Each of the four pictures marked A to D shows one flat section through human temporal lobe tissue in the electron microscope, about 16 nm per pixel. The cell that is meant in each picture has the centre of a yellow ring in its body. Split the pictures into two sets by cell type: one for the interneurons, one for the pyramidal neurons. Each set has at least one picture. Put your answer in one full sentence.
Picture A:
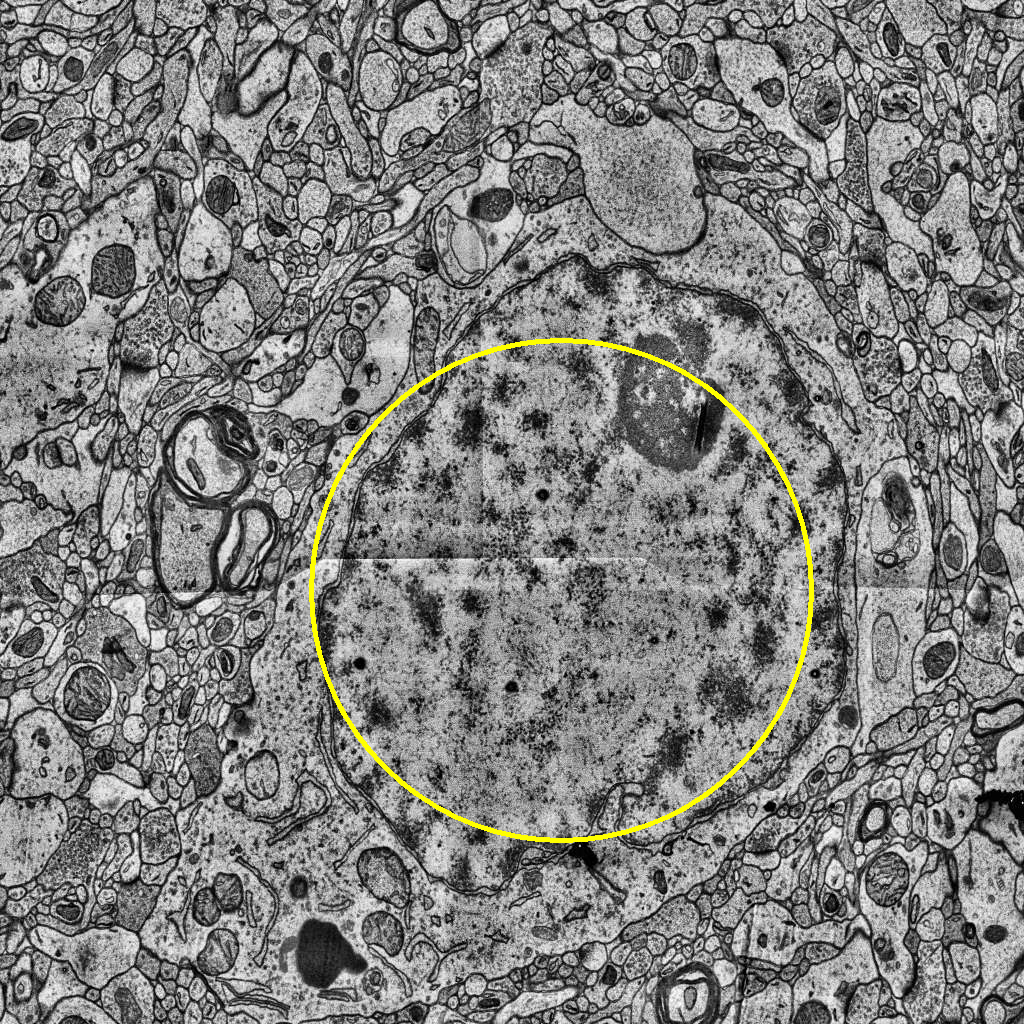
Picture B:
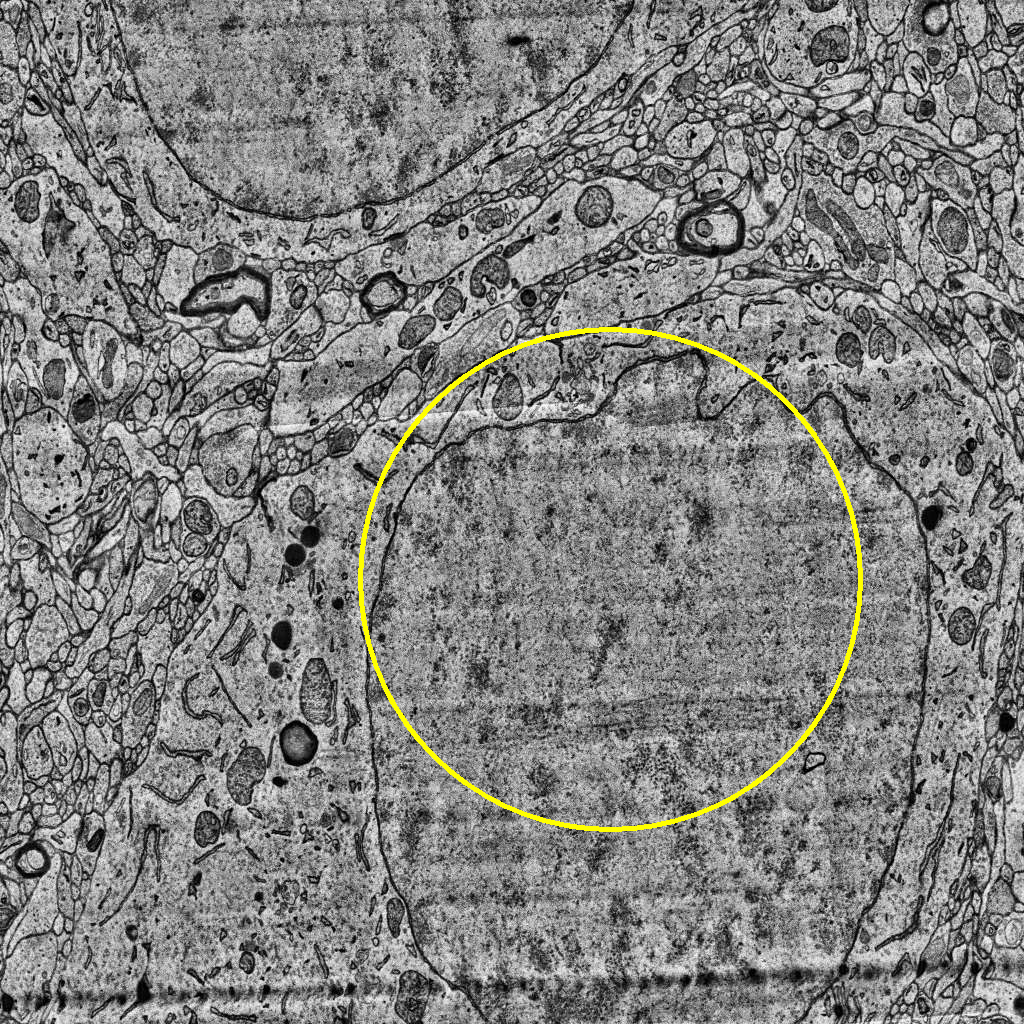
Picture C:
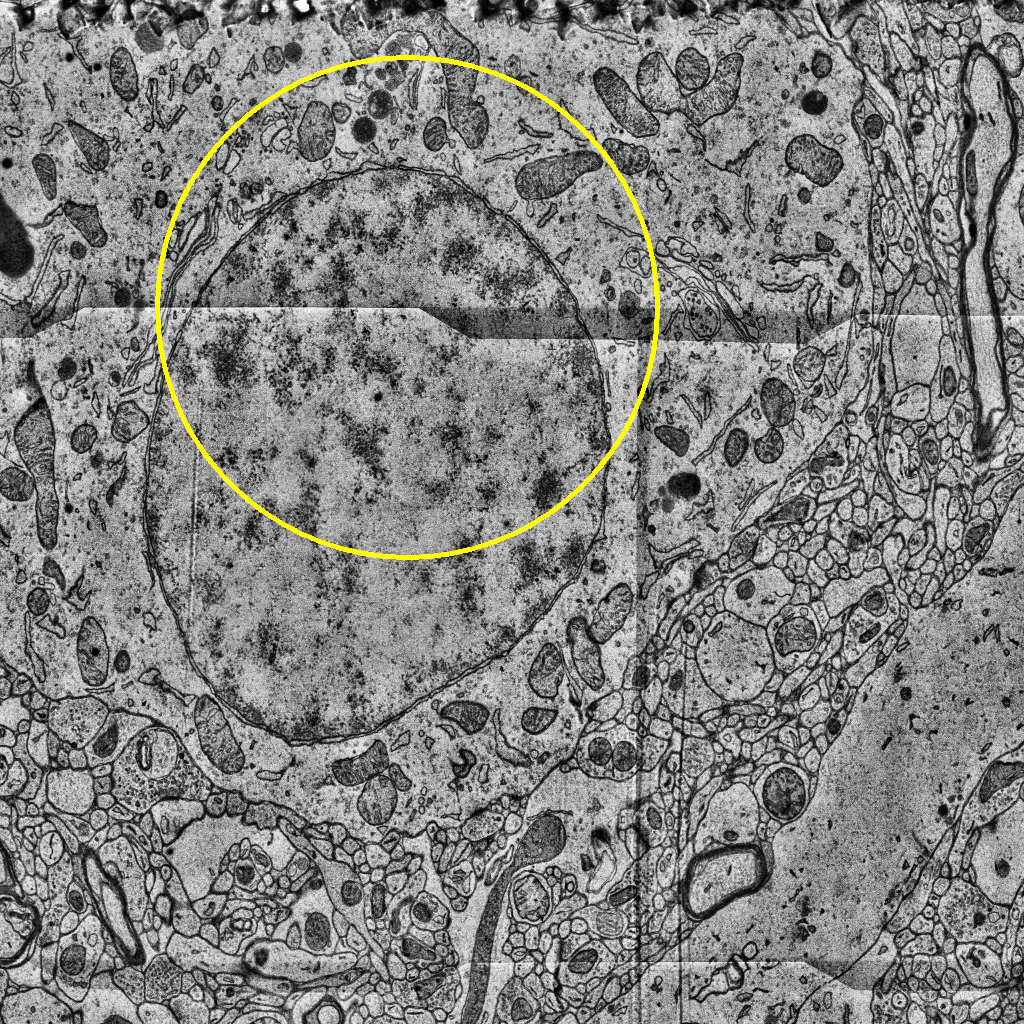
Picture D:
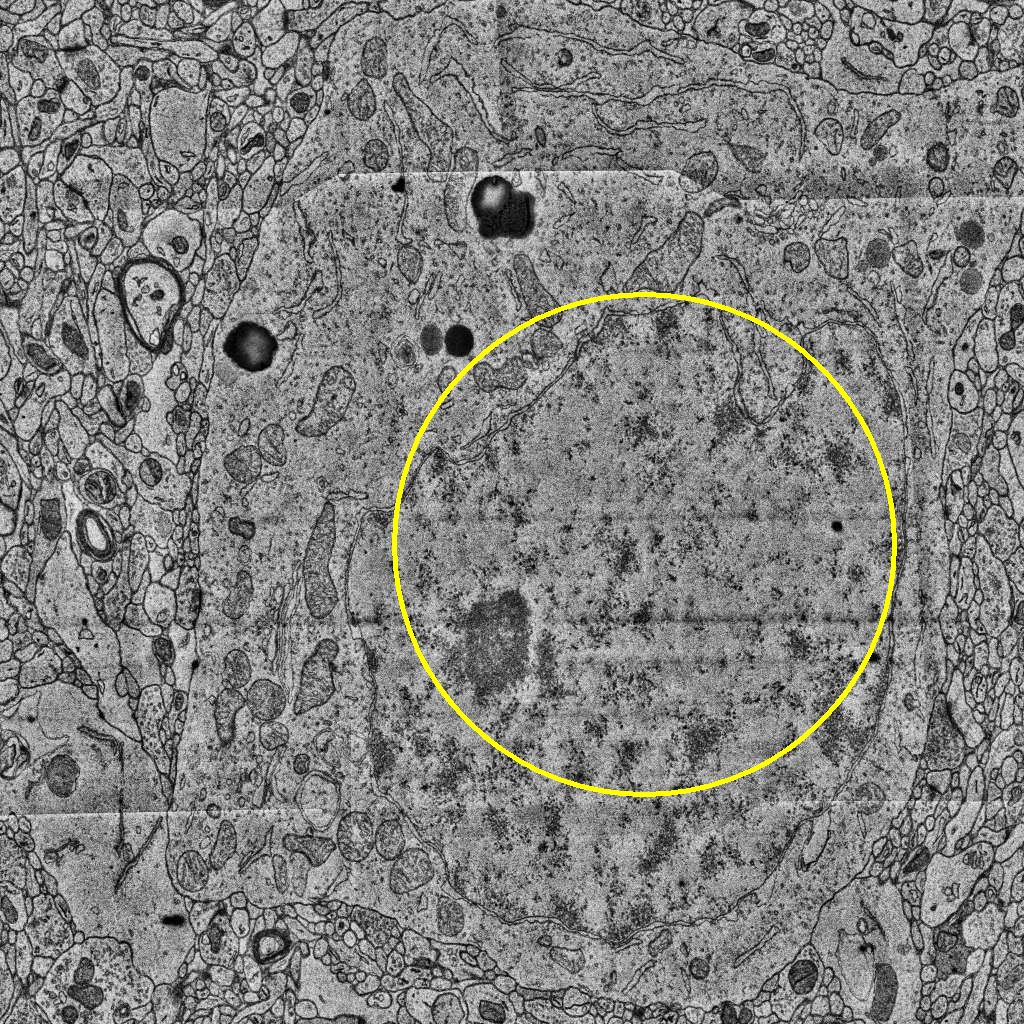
Pictures A, C and D show interneurons, while picture B shows a pyramidal neuron.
